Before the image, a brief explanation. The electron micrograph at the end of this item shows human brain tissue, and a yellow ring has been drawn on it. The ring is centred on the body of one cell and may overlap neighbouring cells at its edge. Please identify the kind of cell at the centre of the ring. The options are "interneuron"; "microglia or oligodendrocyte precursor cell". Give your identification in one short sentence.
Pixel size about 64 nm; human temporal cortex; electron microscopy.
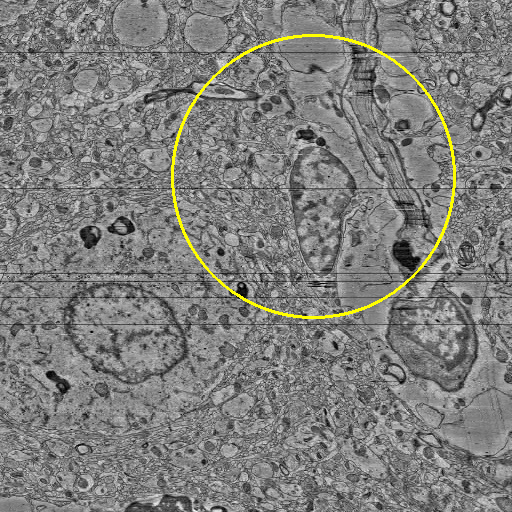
The ring has been placed around a microglial cell or oligodendrocyte precursor cell.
